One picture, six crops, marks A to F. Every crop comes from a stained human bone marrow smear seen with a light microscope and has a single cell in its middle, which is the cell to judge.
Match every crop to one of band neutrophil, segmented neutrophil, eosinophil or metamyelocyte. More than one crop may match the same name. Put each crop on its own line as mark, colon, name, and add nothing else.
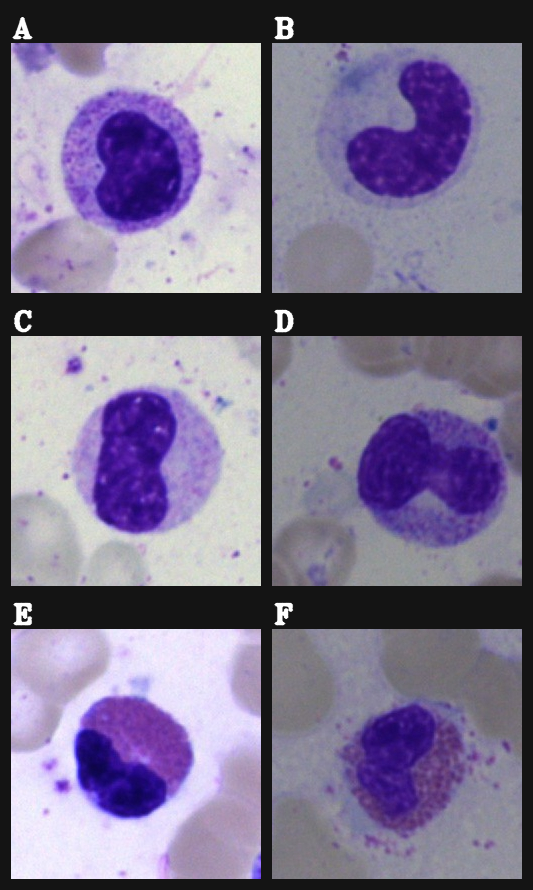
A: metamyelocyte
B: band neutrophil
C: band neutrophil
D: band neutrophil
E: eosinophil
F: eosinophil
